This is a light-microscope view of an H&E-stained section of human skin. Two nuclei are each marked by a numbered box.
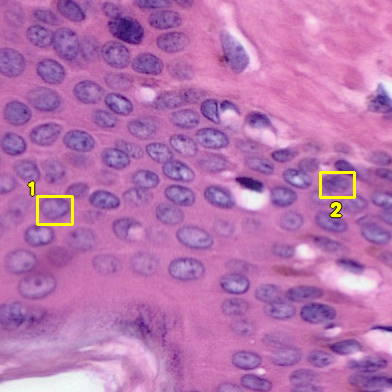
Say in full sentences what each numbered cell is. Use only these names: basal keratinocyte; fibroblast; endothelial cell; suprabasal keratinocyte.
Cell 1 is a suprabasal keratinocyte. Cell 2 is a basal keratinocyte.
